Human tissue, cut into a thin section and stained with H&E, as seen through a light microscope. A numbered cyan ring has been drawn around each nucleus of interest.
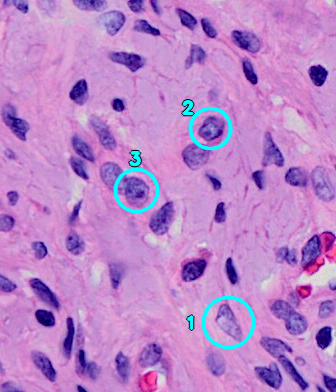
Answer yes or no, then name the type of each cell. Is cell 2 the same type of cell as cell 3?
Yes, both are endothelial cells.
